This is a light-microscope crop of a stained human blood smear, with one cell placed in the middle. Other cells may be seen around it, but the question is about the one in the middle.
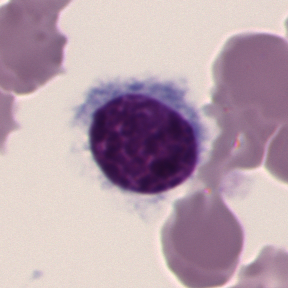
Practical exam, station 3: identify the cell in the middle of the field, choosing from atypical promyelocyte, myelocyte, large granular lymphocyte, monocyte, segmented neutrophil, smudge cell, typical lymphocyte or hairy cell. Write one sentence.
Classified as a hairy cell is the cell in the middle of this crop.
